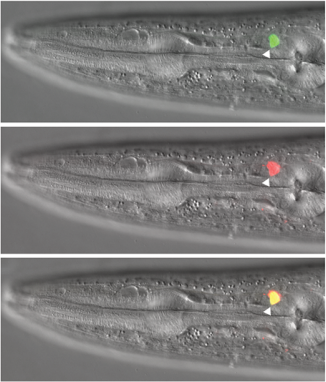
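The head end of a nematode is seen under differential interference contrast, with one small rounded cell body near the back of the head that fluoresces. This cell is green in the top image, red in the middle image and yellow where the two colours overlap in the bottom image, and a white arrowhead points to it in each. The surrounding head tissue looks grainy, with a long tubular structure running lengthwise through the middle.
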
